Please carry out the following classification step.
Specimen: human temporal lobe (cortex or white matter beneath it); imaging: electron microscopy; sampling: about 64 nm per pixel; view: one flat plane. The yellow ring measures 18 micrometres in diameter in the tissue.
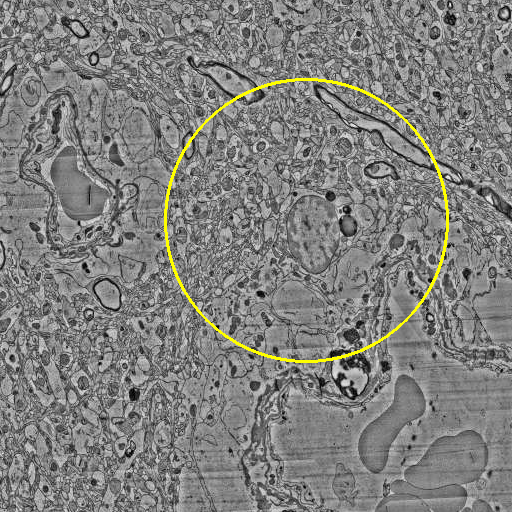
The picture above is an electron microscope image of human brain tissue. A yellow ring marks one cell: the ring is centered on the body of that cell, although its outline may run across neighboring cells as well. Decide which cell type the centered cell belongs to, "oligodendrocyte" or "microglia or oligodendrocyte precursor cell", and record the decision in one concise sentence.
The cell centered in the yellow ring is a microglial cell or oligodendrocyte precursor cell.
